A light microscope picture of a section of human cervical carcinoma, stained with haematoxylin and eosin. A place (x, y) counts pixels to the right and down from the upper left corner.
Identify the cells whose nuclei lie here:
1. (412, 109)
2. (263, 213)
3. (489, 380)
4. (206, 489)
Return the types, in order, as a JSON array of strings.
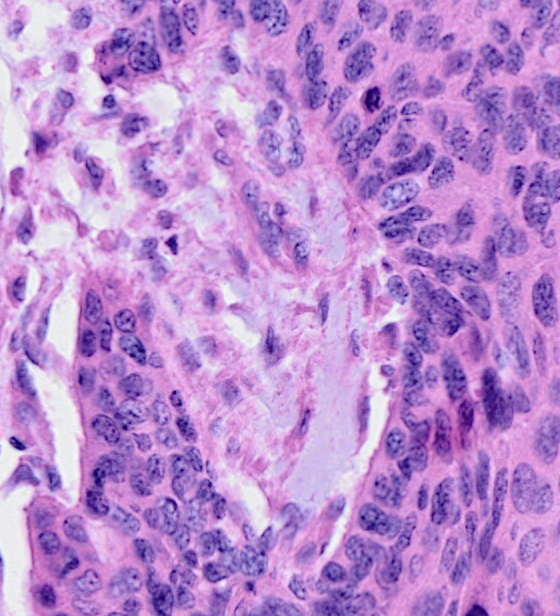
["squamous carcinoma cell", "endothelial cell", "squamous carcinoma cell", "squamous carcinoma cell"]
